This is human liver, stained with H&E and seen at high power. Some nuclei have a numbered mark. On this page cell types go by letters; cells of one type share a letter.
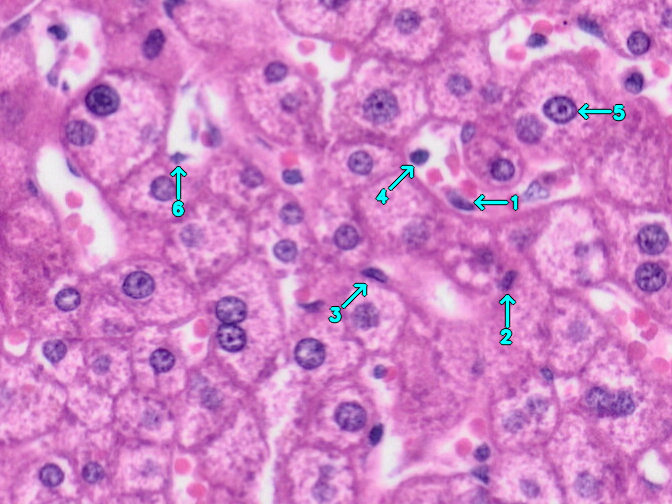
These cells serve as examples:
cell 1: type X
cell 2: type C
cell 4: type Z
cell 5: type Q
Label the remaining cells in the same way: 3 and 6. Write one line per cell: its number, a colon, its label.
3: type C
6: type Z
